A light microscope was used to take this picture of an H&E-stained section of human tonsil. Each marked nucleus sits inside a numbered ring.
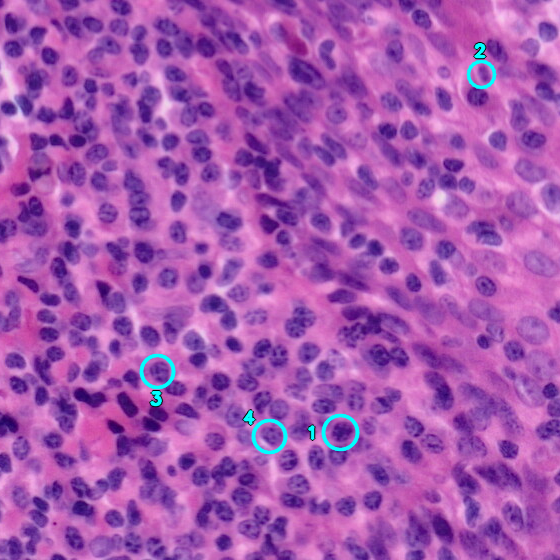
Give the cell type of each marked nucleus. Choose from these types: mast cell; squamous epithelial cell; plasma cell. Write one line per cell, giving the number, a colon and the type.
1: plasma cell
2: squamous epithelial cell
3: plasma cell
4: plasma cell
